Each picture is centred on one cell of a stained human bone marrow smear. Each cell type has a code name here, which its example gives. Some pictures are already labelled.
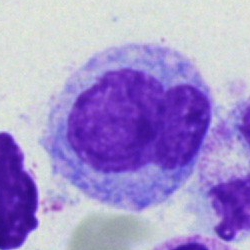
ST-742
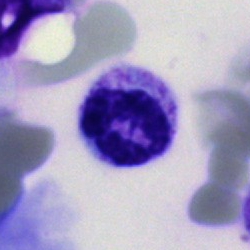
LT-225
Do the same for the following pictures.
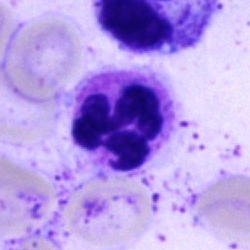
LT-225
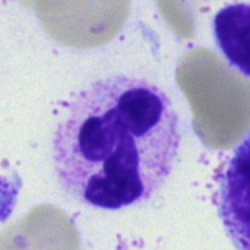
LT-225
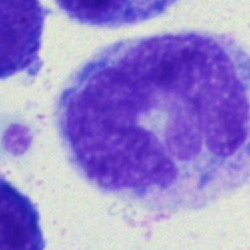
ST-742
